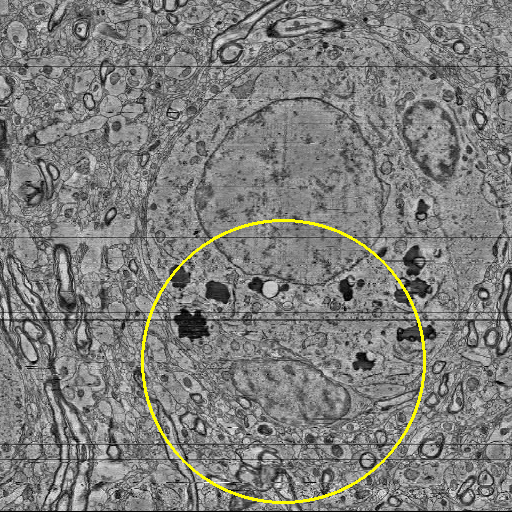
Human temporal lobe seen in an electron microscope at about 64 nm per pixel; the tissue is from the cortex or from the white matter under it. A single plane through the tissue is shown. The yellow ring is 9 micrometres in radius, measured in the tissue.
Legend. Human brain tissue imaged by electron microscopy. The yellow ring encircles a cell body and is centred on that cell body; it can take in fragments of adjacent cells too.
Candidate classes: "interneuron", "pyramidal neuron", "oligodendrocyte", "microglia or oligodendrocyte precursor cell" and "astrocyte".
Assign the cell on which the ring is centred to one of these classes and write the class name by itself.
oligodendrocyte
